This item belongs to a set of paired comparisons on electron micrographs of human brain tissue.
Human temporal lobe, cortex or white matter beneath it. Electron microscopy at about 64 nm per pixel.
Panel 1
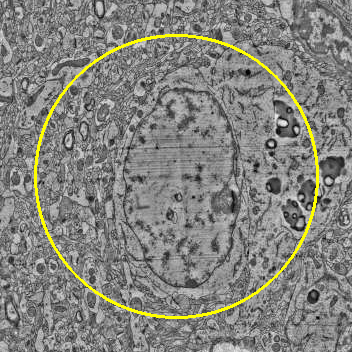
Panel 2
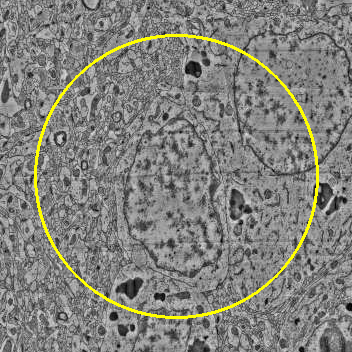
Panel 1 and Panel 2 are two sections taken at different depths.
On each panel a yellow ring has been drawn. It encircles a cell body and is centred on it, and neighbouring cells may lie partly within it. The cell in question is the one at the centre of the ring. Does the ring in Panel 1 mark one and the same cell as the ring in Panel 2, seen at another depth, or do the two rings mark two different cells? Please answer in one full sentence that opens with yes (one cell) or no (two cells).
Yes, the two marked outlines come from one and the same cell.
